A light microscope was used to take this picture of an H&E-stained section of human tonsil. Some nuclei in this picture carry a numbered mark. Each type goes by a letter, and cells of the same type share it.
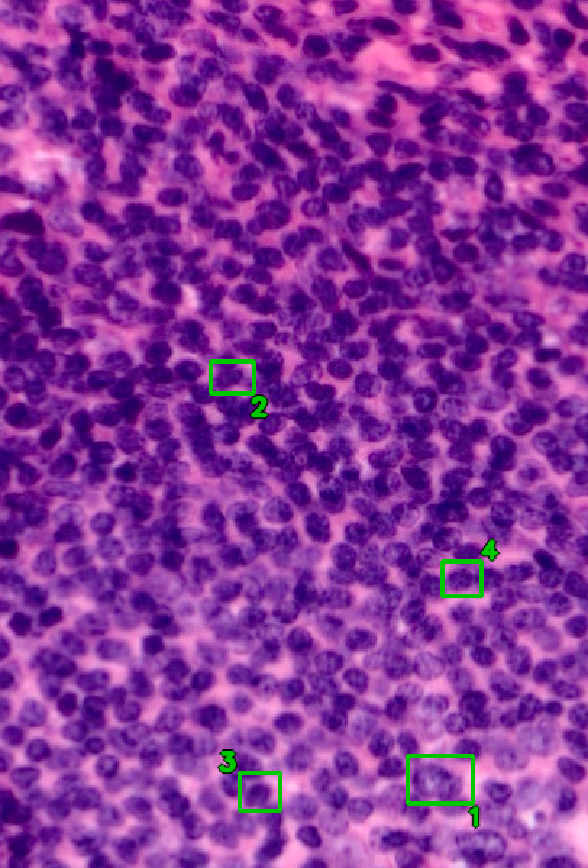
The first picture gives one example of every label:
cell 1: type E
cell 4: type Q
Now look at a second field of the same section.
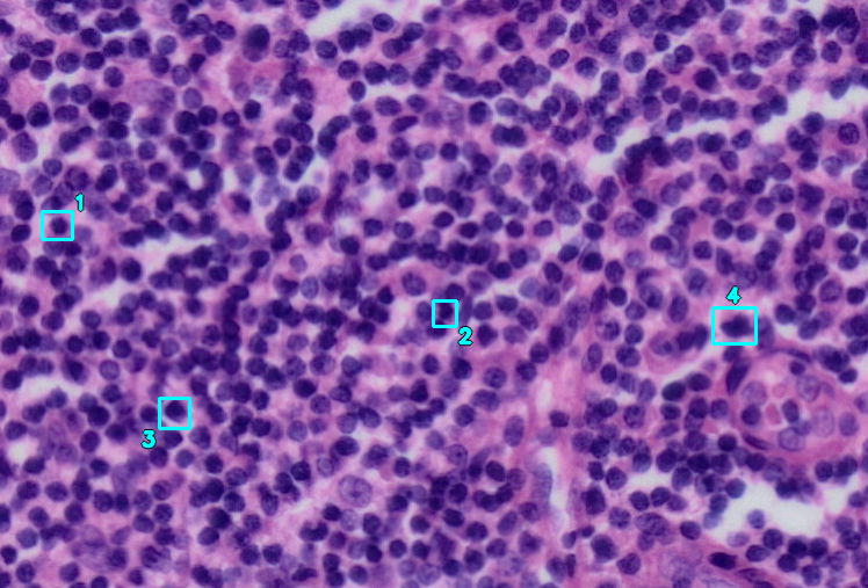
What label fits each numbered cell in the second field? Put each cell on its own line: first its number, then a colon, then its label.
1: type Q
2: type Q
3: type Q
4: type E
